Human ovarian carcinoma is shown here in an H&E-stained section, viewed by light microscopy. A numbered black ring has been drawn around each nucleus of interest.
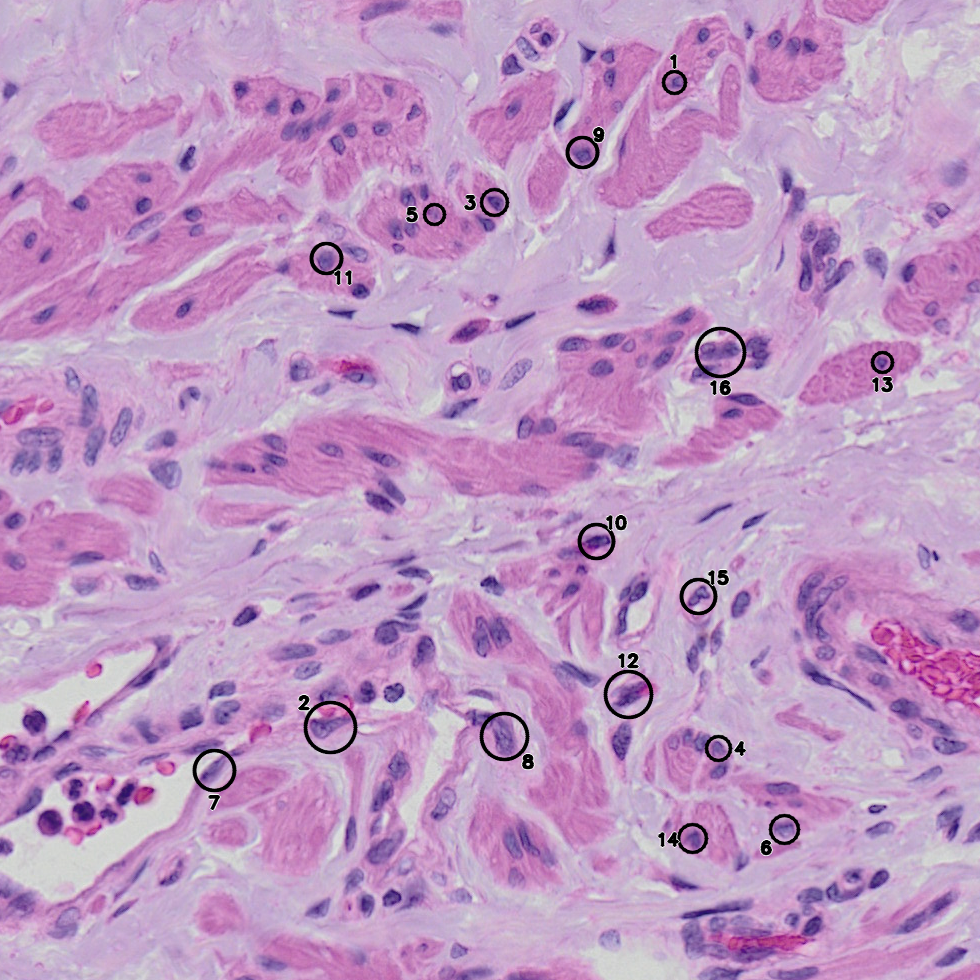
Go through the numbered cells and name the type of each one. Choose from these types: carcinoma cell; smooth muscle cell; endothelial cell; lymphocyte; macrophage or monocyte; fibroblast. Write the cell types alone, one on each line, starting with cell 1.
smooth muscle cell
endothelial cell
smooth muscle cell
smooth muscle cell
smooth muscle cell
smooth muscle cell
endothelial cell
endothelial cell
smooth muscle cell
endothelial cell
smooth muscle cell
endothelial cell
smooth muscle cell
smooth muscle cell
endothelial cell
endothelial cell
